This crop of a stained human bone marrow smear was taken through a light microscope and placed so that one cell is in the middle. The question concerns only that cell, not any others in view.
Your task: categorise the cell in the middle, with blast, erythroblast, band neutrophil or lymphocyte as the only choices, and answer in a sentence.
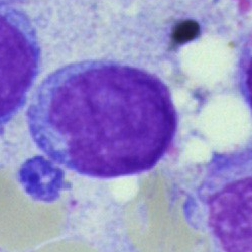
Occupying the centre of the crop is a blast.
